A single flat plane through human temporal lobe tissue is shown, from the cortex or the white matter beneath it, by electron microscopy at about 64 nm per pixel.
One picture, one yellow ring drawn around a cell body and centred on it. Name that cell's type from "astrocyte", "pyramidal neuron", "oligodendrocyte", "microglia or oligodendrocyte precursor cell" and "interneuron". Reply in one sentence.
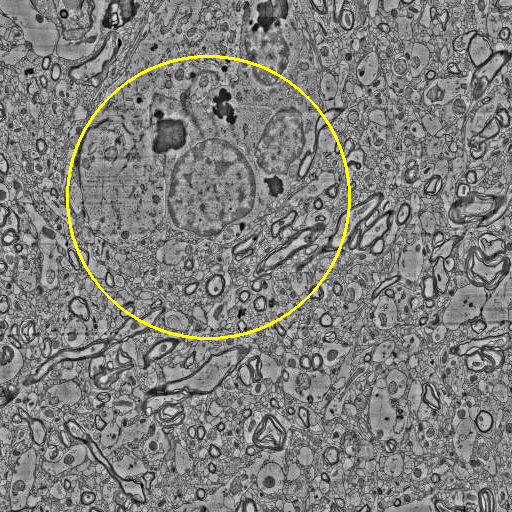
Centred in the ring is an oligodendrocyte.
